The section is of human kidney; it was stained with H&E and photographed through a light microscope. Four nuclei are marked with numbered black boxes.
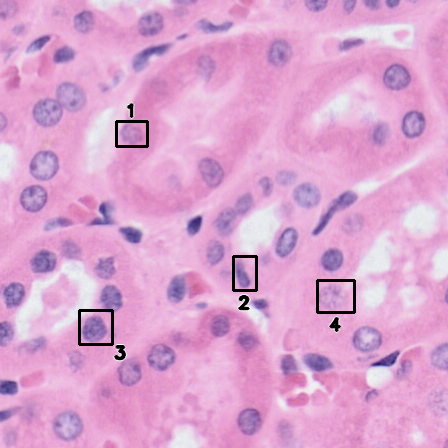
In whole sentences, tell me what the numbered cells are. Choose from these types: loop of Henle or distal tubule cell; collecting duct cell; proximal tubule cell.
Cells 1 and 4 are proximal tubule cells. Cell 2 is a collecting duct cell. Cell 3 is a loop of Henle or distal tubule cell.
